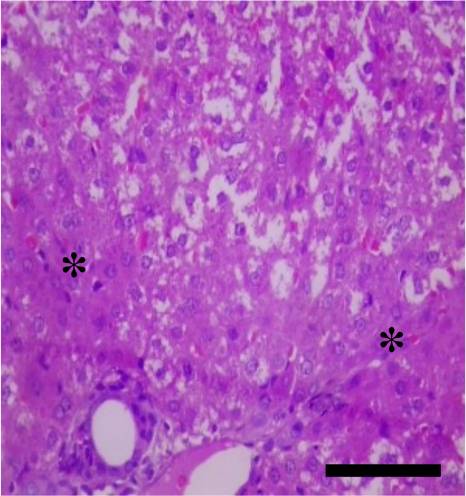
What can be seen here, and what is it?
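This is liver tissue made of hepatocytes, with a small portal area near the bottom. The liver cells are polygonal, with round central nuclei and pink, finely granular cytoplasm. In patches, especially on the left and right, the tissue looks more uniformly and deeply pink. There the sinusoidal spaces are largely lost and the cell outlines are less distinct, in keeping with areas of hepatocyte necrosis. Near the bottom, a small round vessel sits within a cuff of small, darker-nucleated cells.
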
